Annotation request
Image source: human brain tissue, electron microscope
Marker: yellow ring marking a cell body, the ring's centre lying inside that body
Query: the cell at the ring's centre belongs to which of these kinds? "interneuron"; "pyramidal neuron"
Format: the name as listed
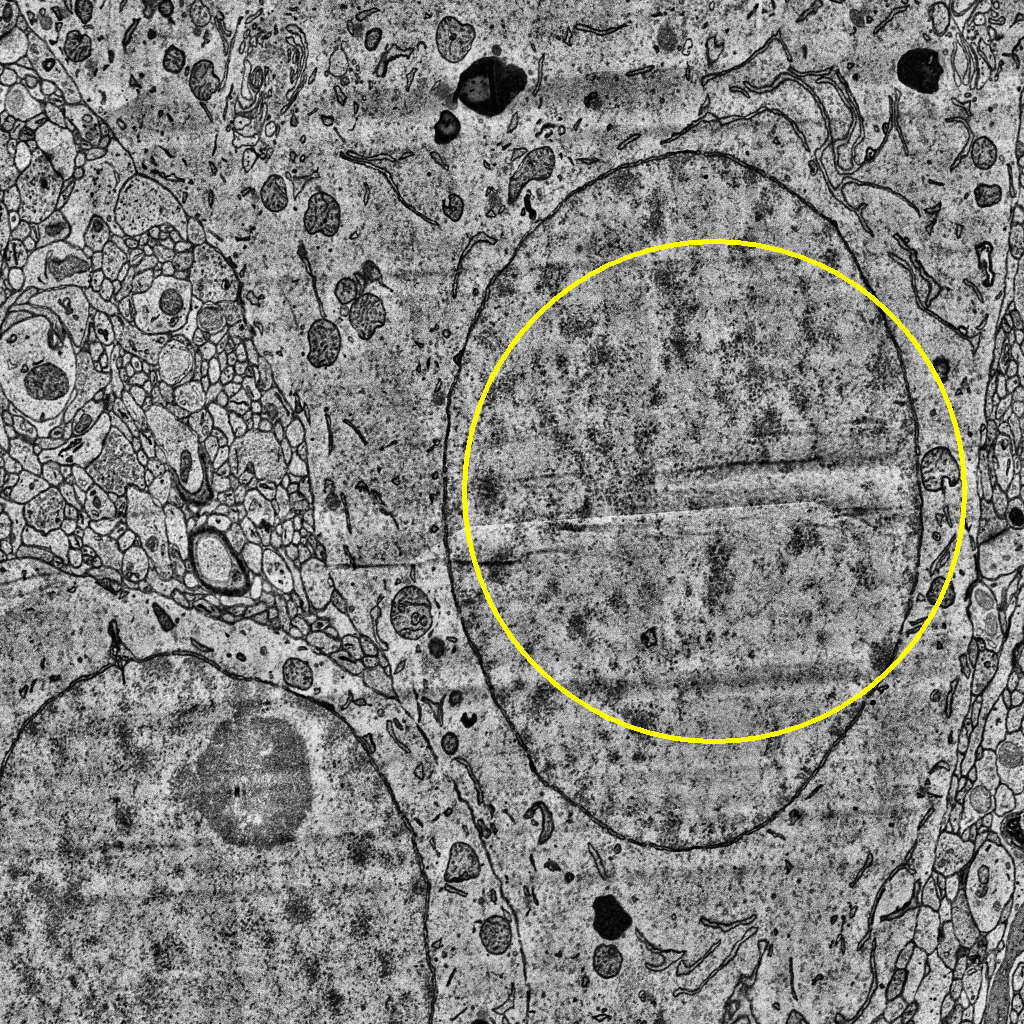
pyramidal neuron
